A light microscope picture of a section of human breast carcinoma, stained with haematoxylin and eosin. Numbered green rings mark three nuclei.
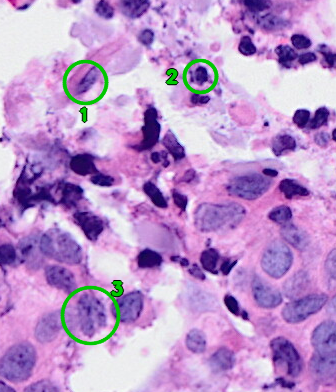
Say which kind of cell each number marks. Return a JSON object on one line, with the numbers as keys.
{"1": "endothelial cell", "2": "lymphocyte", "3": "carcinoma cell"}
